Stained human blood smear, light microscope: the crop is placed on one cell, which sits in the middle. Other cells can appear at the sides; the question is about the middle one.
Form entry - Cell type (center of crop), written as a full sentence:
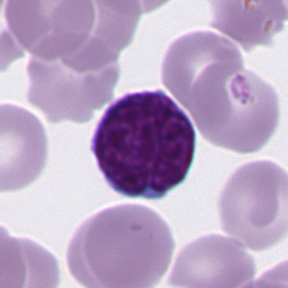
Occupying the centre of the crop is a lymphocyte.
